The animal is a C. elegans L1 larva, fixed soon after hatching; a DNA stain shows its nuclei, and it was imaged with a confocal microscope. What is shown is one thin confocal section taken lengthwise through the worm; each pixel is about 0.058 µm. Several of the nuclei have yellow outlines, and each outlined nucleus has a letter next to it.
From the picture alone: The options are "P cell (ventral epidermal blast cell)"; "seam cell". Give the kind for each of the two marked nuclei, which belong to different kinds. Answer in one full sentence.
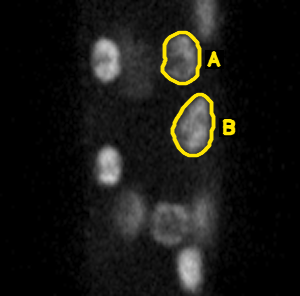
A is the nucleus of a seam cell; B is the nucleus of a P cell (ventral epidermal blast cell).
